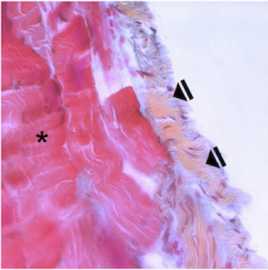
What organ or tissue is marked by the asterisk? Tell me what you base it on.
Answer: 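Large bright red fibres with sharp edges. Fibres are cut in bundles beside paler fibrous tissue. That points to this answer: muscle.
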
